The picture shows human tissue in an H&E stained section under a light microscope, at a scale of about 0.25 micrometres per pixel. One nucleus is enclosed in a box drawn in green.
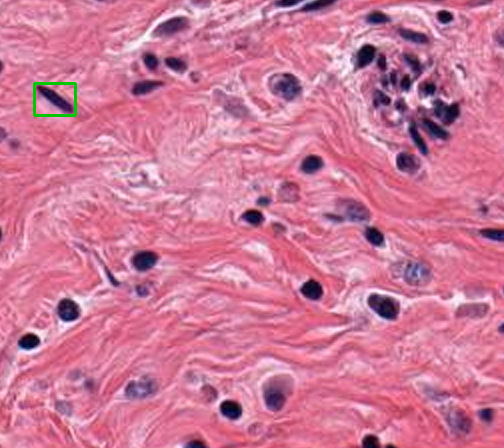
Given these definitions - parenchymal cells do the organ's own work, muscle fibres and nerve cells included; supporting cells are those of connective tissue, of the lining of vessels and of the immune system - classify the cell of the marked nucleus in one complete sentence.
The marked nucleus is contained in a supporting cell.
